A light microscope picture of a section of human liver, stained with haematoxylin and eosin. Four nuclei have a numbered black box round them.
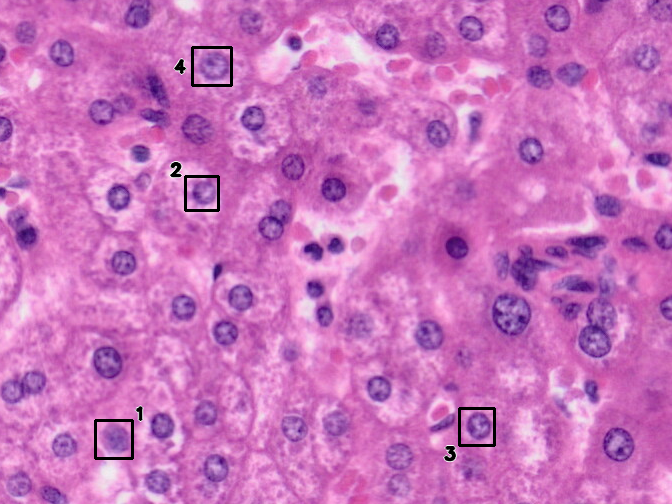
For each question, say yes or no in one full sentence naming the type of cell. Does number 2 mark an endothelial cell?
No, cell 2 is not an endothelial cell; a hepatocyte is correct.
